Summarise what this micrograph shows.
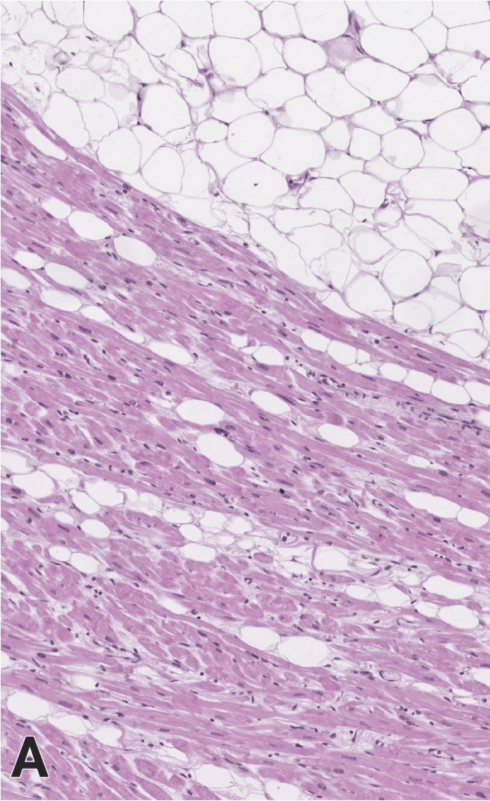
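The lower part shows bundles of elongated, pink, branching heart muscle fibres with oval central nuclei, separated by thin septa holding scattered spindle-shaped nuclei. Above them lies a broad field of large empty fat cells with thin membranes, and rows of fat cells also reach down between the muscle bundles. This is myocardium with fat collecting beneath the epicardium and extending in among the muscle fibres.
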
